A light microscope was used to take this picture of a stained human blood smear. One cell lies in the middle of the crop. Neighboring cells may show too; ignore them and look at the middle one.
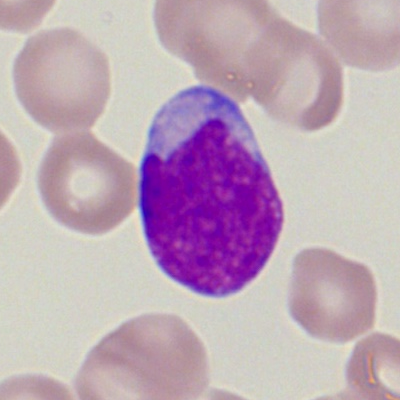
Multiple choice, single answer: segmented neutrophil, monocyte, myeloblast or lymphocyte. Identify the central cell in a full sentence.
The cell under consideration, at the middle of the crop, is a myeloblast.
